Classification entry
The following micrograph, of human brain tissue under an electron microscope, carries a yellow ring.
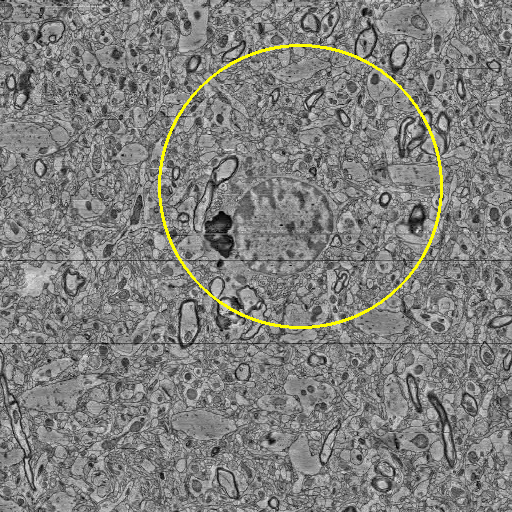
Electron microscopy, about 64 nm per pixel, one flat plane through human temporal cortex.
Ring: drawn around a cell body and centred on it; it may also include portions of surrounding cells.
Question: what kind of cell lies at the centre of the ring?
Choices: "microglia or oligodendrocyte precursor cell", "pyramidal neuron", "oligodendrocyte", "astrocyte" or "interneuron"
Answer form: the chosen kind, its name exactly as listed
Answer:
oligodendrocyte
